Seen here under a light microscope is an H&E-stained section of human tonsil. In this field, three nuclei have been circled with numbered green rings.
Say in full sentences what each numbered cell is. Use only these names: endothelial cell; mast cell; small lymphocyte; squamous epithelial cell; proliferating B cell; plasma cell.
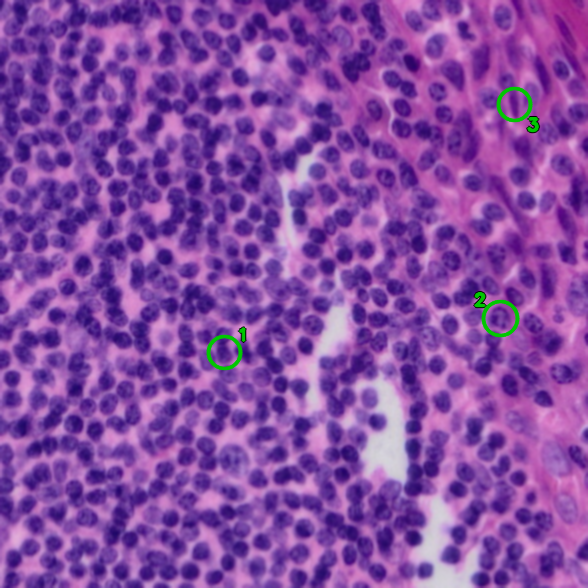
Cell 1 is a small lymphocyte, cell 2 is a plasma cell and cell 3 is a squamous epithelial cell.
